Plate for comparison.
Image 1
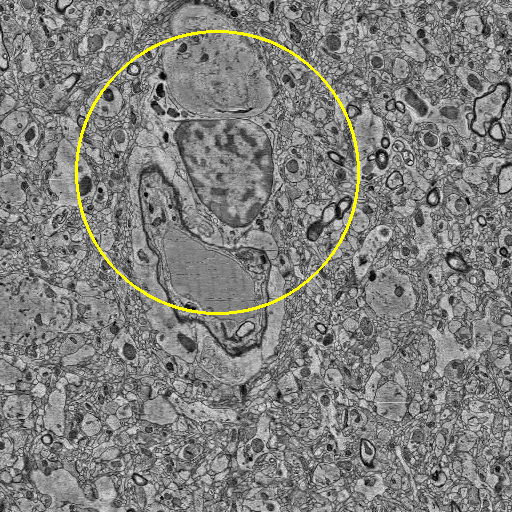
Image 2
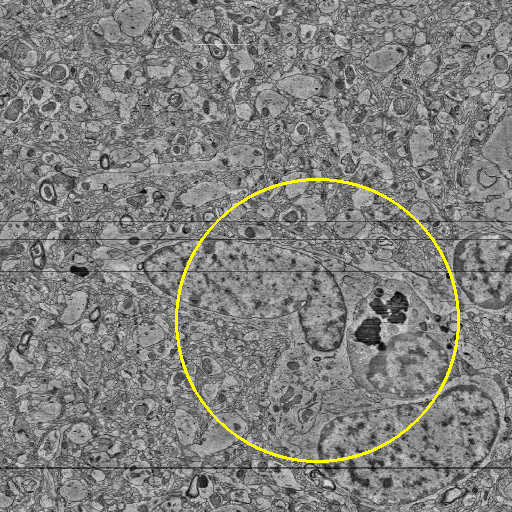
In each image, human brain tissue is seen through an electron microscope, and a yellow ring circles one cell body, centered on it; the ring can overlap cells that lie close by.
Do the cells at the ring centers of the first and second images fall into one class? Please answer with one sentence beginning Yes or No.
Yes, the first and second images show a single class of cell at the ring centers.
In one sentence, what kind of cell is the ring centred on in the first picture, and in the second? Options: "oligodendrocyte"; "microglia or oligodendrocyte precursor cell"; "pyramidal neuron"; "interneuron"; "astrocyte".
Each of the two cells is a microglial cell or oligodendrocyte precursor cell.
